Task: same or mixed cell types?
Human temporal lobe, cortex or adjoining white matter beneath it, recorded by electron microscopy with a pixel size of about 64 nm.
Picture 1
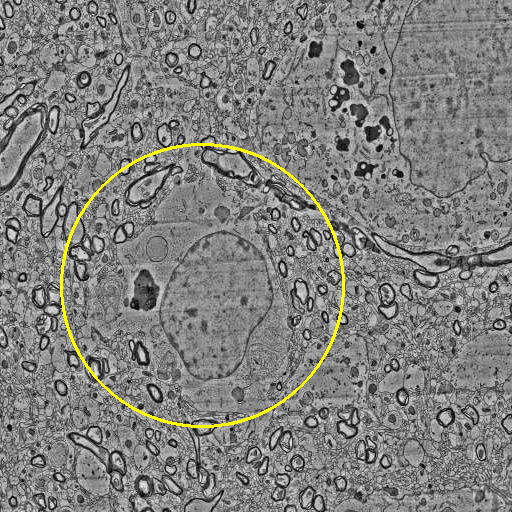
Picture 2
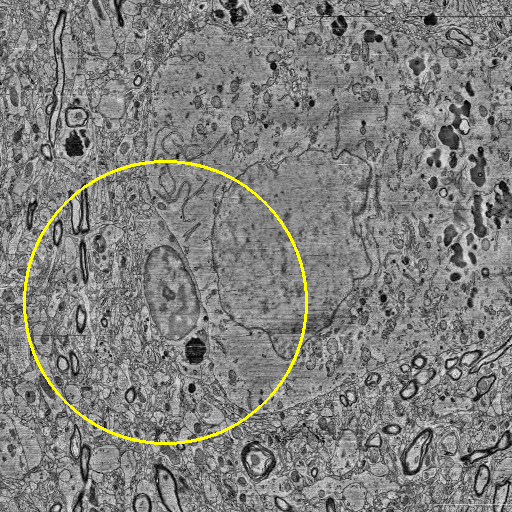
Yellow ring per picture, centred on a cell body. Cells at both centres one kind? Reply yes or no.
no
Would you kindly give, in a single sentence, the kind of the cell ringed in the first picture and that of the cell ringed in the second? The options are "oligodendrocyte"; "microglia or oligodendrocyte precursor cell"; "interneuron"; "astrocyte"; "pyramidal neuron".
The second cell is an oligodendrocyte, and the first cell is an astrocyte.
